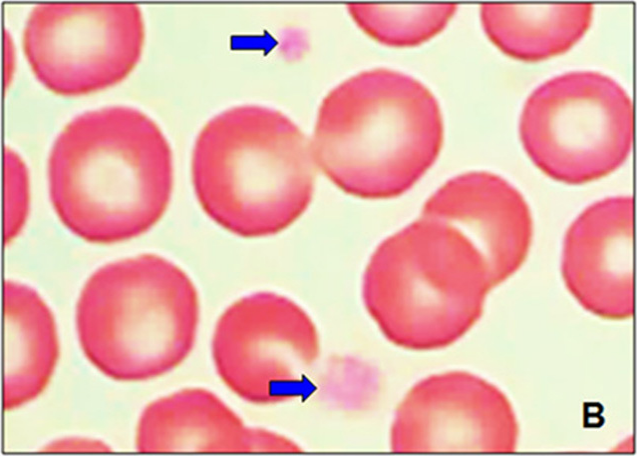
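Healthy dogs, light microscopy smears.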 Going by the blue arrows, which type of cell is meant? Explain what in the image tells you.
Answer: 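Platelets. The marked objects are much smaller than the surrounding red cells. They are pale pink-purple with a finely granular, irregular appearance. They have no nucleus.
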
